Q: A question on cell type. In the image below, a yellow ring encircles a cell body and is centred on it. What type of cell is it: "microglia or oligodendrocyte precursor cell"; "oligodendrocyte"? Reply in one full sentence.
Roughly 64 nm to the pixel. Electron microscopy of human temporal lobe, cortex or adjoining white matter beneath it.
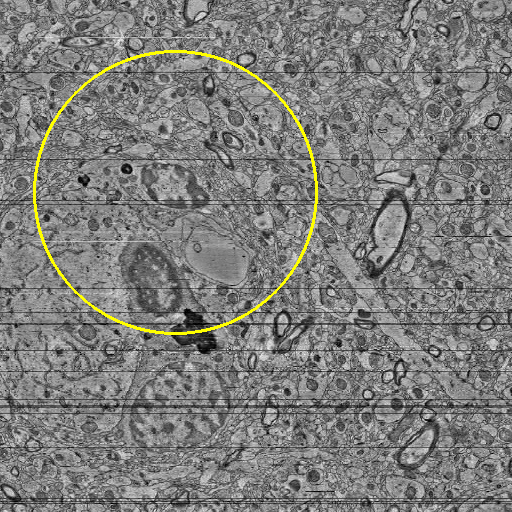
It is a microglial cell or oligodendrocyte precursor cell whose cell body sits at the centre of the yellow ring in the image.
